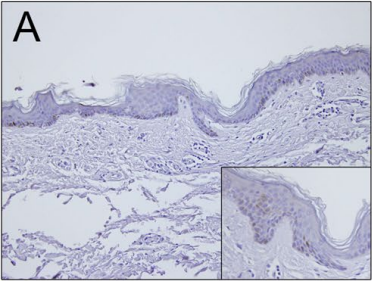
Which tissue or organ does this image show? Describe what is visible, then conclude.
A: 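A stratified epithelium with a cornified surface layer overlies fibrous connective tissue. The epithelial-connective tissue border is undulating.
Hence: skin.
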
